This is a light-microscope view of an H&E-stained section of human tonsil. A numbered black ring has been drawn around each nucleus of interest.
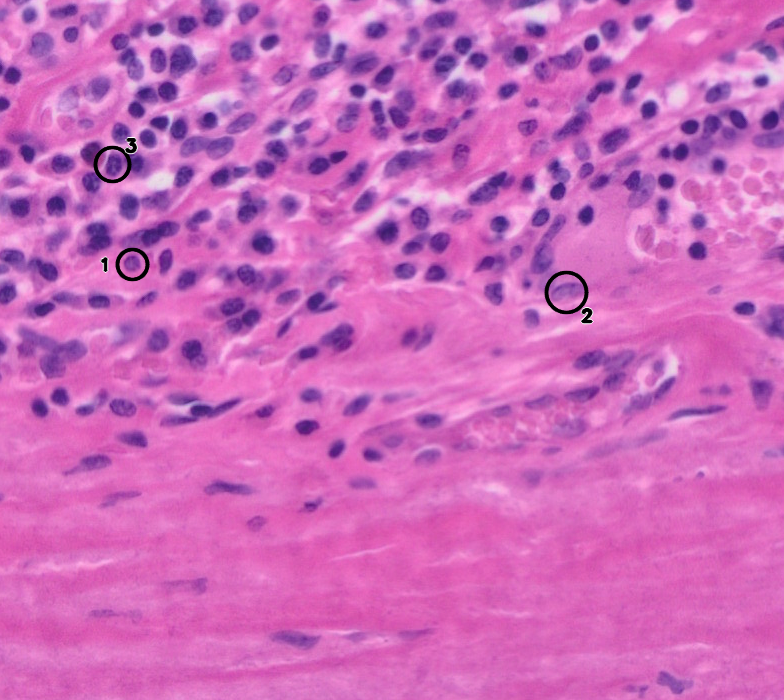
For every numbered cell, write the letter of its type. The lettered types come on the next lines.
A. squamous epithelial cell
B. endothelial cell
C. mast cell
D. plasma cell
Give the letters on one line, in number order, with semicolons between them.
C; B; D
